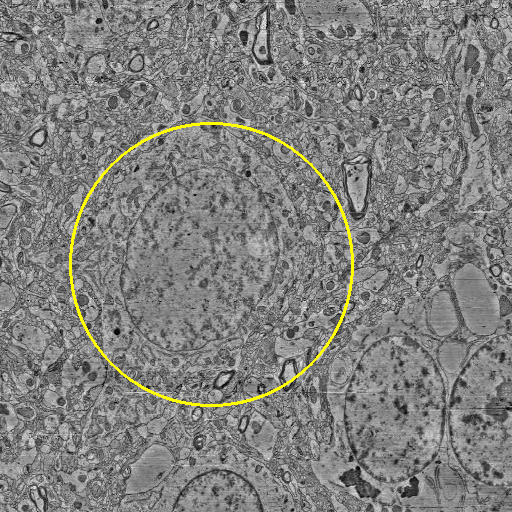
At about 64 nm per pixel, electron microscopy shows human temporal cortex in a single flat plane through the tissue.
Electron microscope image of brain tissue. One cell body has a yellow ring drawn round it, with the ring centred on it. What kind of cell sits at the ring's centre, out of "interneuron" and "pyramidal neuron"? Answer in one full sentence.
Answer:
It is an interneuron whose cell body sits at the centre of the yellow ring.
